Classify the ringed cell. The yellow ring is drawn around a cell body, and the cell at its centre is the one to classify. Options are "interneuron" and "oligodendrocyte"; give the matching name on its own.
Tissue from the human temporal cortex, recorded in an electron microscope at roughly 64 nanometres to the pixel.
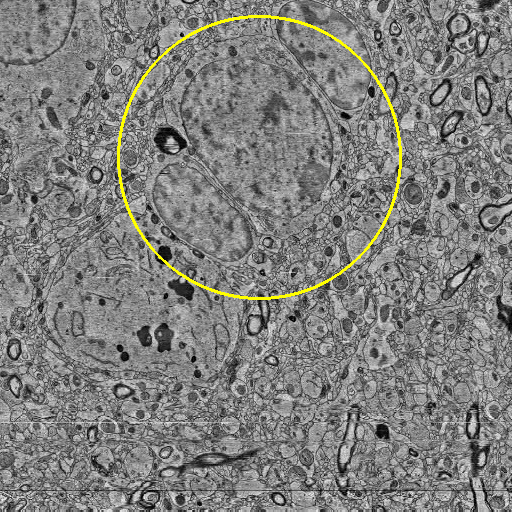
interneuron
